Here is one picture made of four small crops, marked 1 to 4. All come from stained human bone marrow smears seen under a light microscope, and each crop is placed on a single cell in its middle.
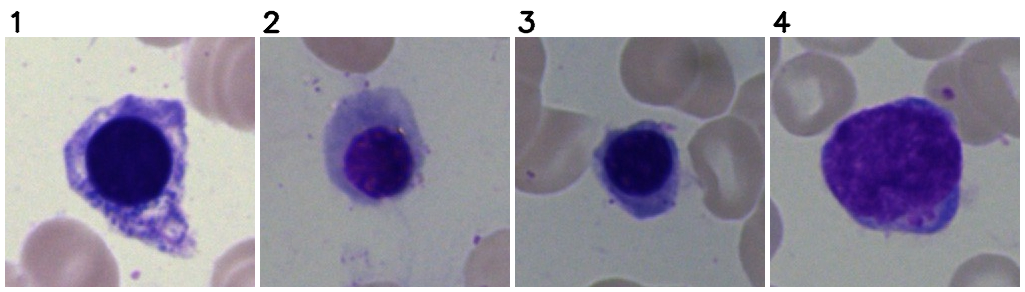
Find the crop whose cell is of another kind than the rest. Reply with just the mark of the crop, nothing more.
4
